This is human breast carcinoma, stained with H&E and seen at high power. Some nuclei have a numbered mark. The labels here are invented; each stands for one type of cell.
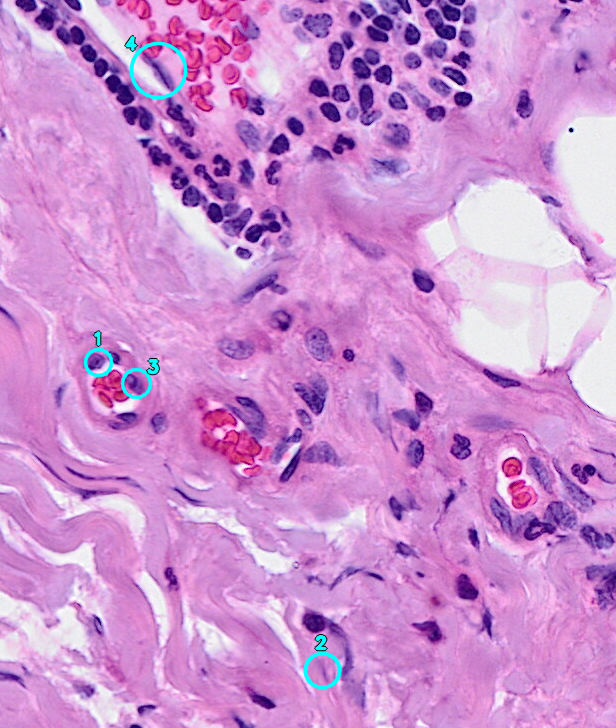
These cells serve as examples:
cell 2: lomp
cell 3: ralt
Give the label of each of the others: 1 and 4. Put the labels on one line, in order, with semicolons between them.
ralt; ralt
